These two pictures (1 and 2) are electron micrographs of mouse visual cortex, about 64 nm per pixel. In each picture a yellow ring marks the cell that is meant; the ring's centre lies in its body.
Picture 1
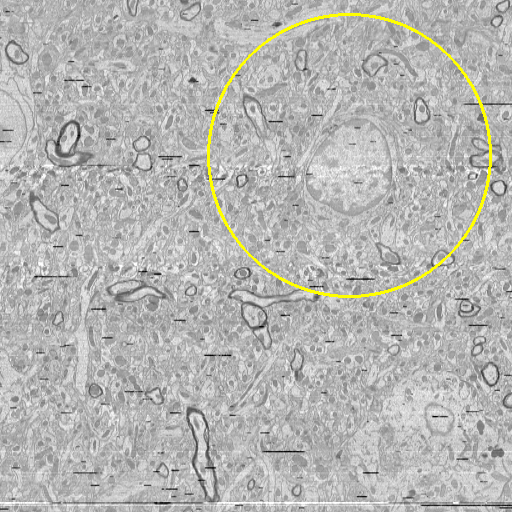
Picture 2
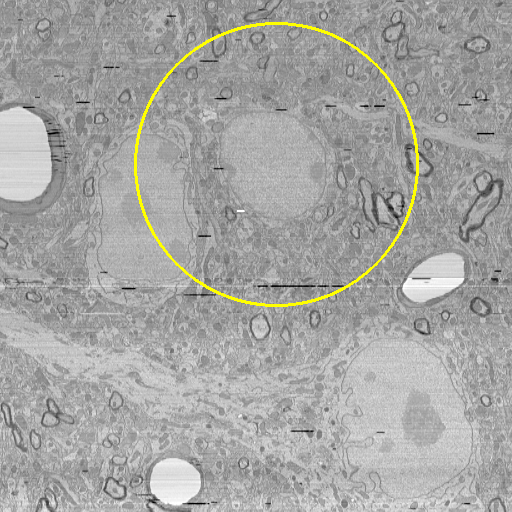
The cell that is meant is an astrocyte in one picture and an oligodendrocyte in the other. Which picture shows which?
Picture 1 shows an oligodendrocyte and picture 2 shows an astrocyte.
